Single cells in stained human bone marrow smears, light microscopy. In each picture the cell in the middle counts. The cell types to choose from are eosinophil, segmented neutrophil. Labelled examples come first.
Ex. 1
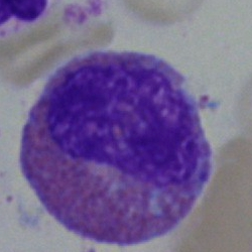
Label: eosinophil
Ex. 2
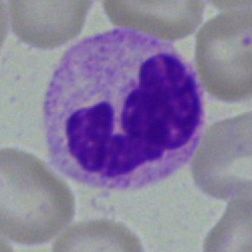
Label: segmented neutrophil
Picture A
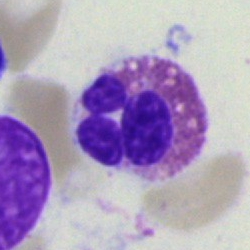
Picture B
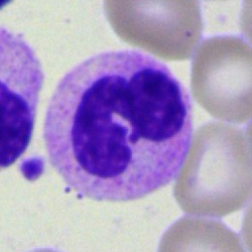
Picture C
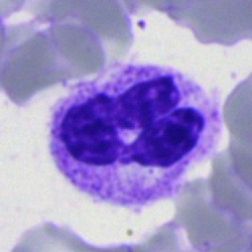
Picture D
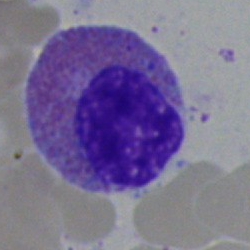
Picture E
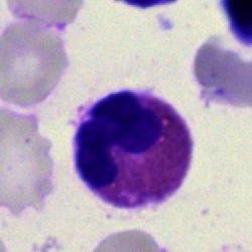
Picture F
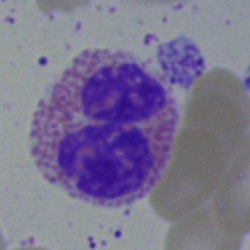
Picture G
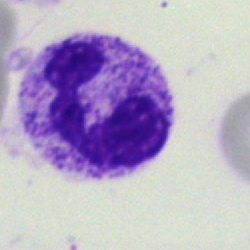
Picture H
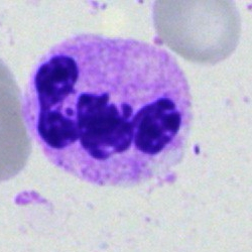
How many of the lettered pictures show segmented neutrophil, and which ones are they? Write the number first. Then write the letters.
4, namely B, C, G, H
